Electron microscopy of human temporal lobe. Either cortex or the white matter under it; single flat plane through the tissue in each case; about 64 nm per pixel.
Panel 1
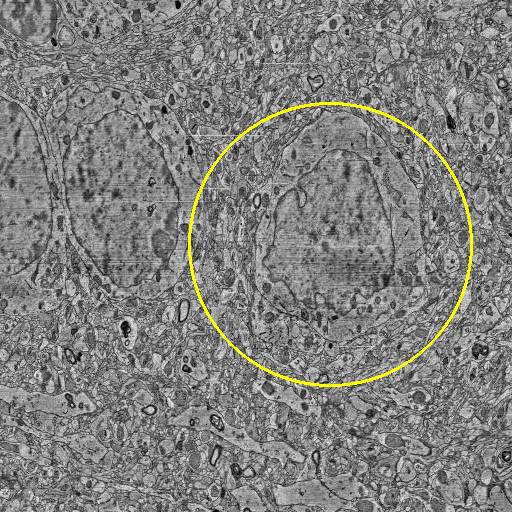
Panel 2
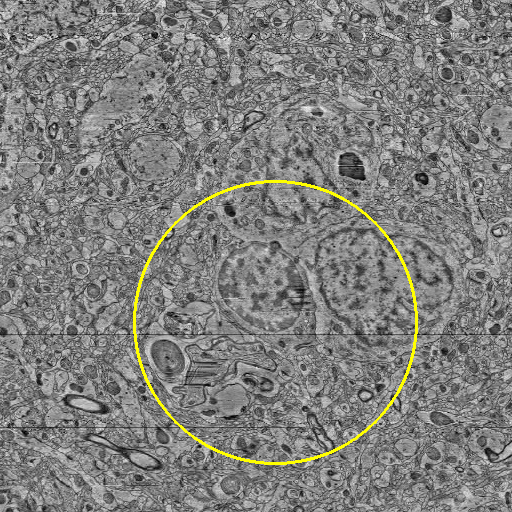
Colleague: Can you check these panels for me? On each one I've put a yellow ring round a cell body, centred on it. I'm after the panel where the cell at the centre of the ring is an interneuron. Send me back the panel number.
1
